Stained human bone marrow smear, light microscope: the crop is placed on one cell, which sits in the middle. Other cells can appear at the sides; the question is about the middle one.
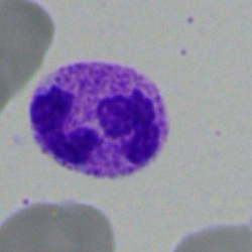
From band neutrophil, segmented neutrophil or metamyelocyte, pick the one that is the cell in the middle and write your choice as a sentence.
The target cell in the middle of the crop is a segmented neutrophil.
